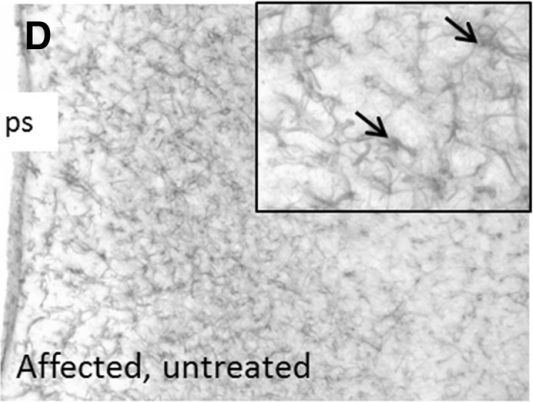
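This is cerebral cortex with the pial surface at the left, filled with grey-stained astrocytes whose processes form a dense, tangled meshwork through the grey matter. The network is thickest in the outer and middle part of the cortex and thins toward the right. In the inset individual cells appear as small bodies from which several long, thin, branching processes radiate in a star-like pattern, their fibres crossing and interweaving with those of neighbours. The surface at the left edge is outlined by a darker stained rim.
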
